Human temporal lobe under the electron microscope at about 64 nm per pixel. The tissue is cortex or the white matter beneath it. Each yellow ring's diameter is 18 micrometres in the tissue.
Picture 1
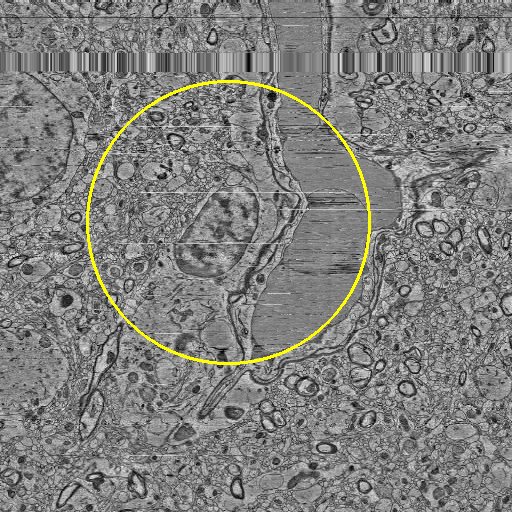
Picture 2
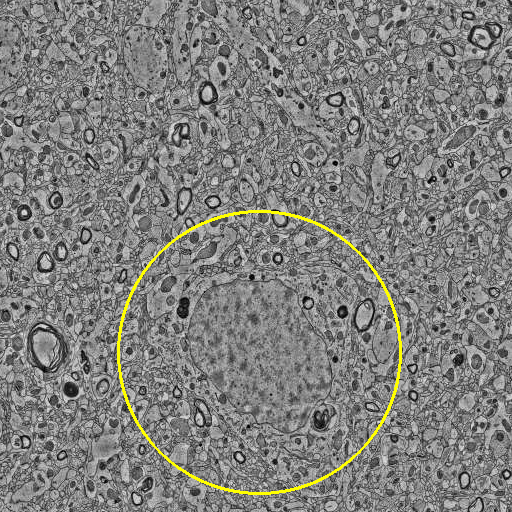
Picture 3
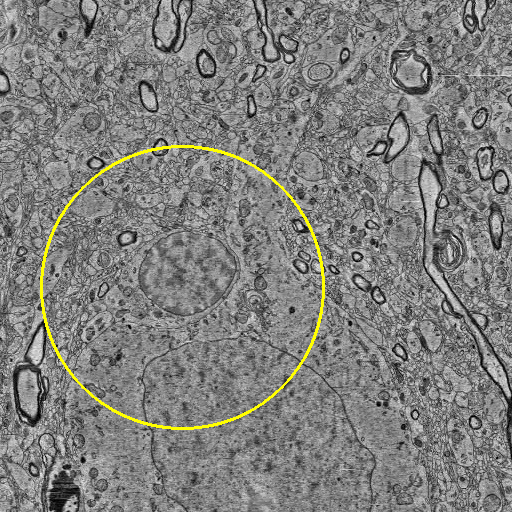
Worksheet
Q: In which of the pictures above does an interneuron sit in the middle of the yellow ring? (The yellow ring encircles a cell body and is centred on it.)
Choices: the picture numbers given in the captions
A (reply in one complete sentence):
In picture 2, the cell sitting at the centre of the ring is the match.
